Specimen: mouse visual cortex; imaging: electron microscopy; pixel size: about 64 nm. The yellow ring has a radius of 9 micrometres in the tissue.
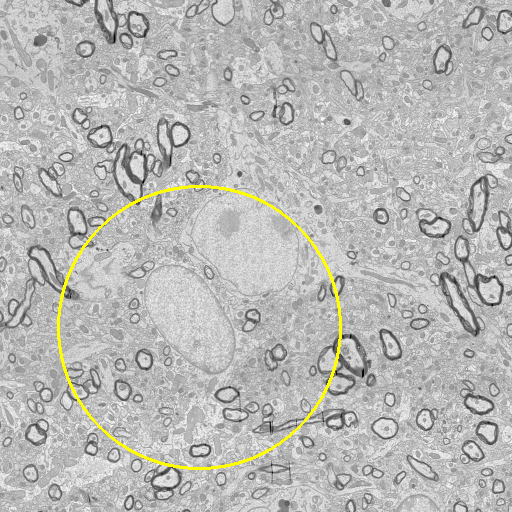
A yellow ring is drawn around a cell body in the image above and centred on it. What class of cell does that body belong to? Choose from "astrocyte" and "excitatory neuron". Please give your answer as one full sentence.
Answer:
The yellow ring above is centred on the cell body of an astrocyte.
